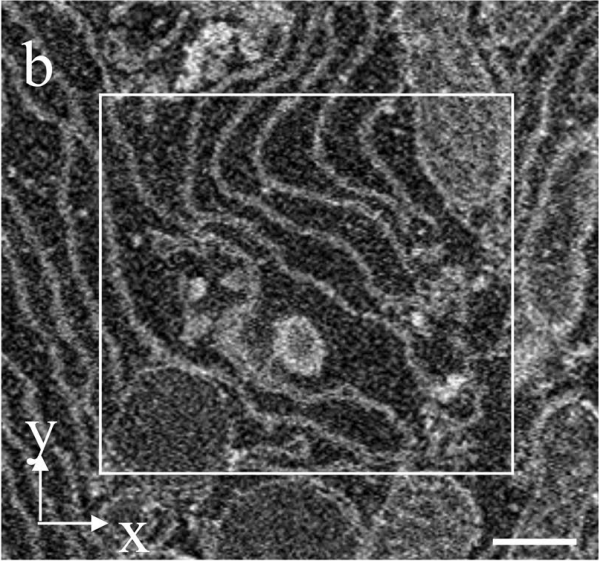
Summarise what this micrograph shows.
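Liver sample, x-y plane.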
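This is a close view of hepatocyte cytoplasm dominated by membranes of the endoplasmic reticulum. Thin bright membranes run in roughly parallel, curving layers, separated by darker spaces. A few rounded and oval organelles sit among and beside the membrane stacks.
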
